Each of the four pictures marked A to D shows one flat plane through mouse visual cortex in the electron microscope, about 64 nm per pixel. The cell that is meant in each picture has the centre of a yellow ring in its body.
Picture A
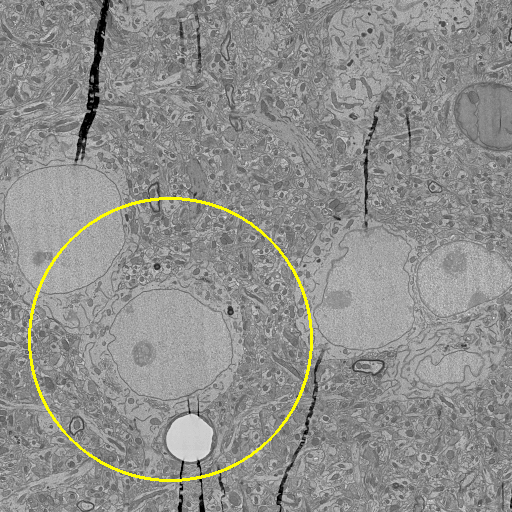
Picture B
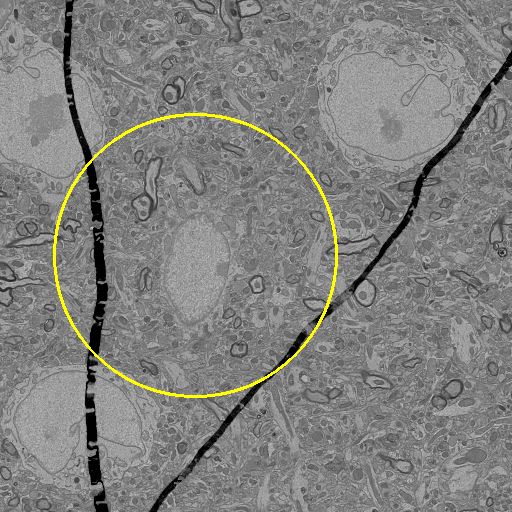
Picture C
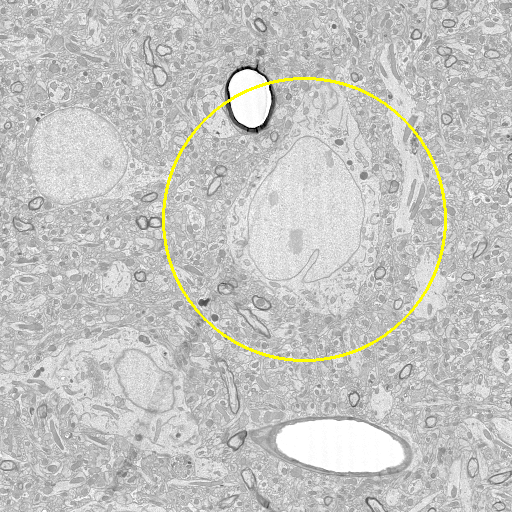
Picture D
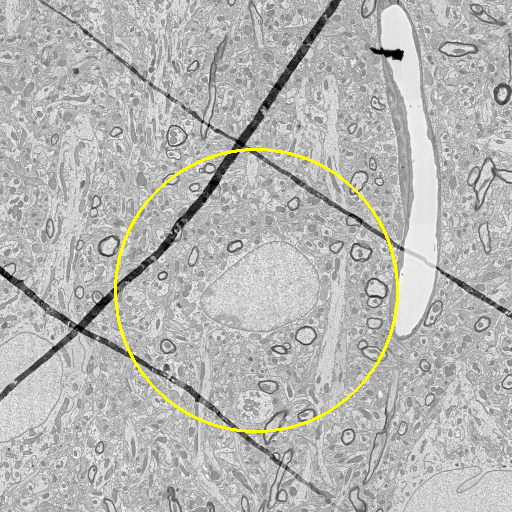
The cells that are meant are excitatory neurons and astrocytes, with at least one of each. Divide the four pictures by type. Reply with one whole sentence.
Pictures A and C show excitatory neurons; pictures B and D show astrocytes.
